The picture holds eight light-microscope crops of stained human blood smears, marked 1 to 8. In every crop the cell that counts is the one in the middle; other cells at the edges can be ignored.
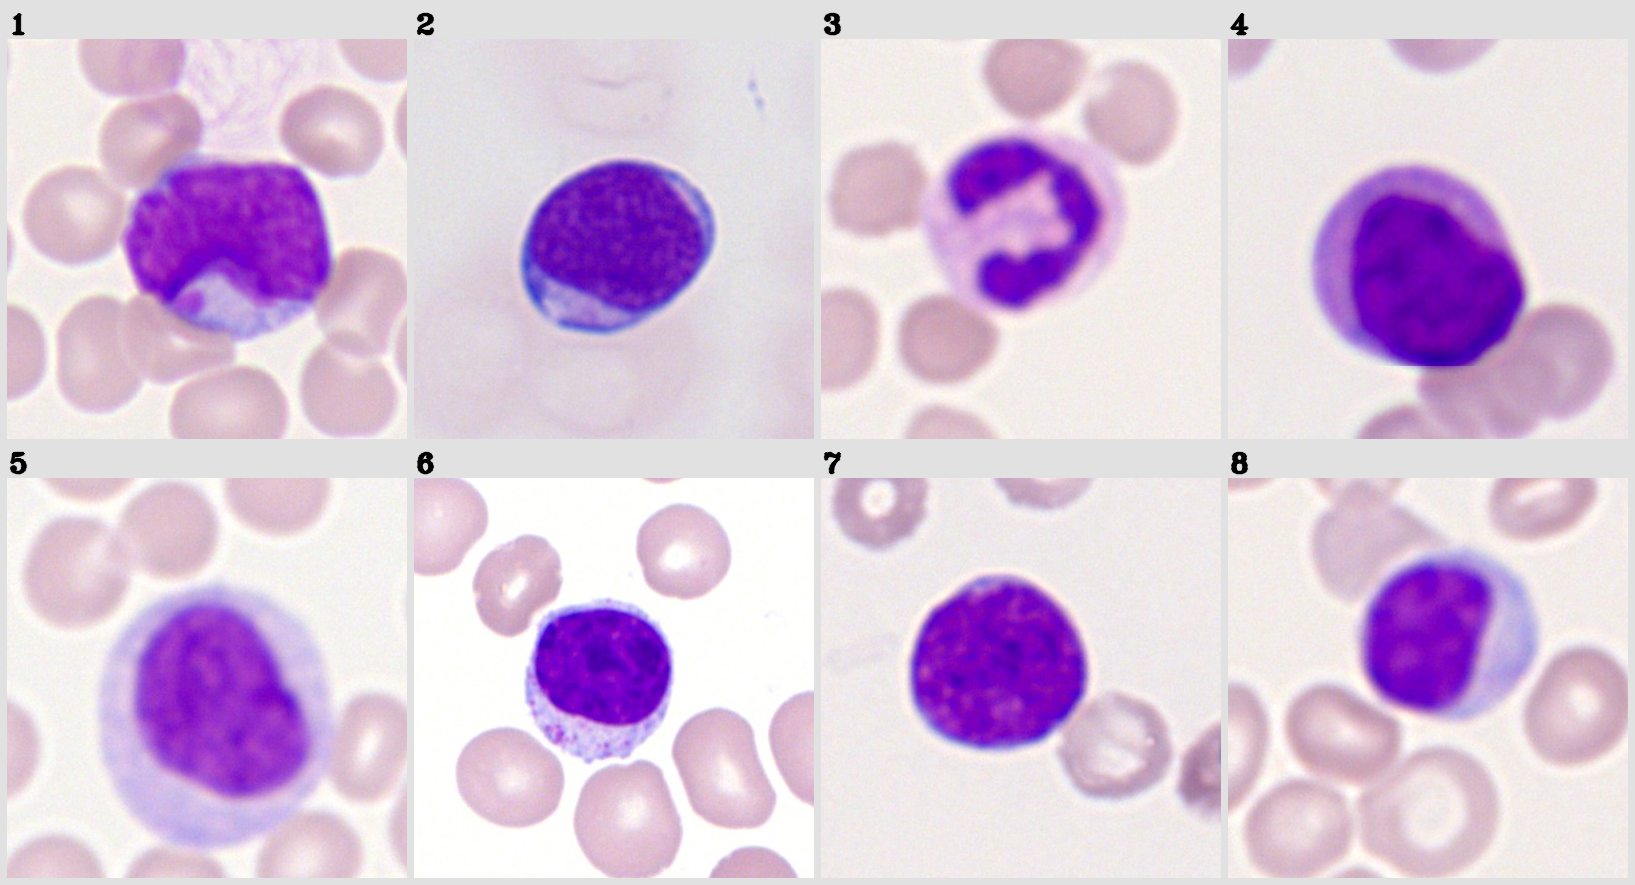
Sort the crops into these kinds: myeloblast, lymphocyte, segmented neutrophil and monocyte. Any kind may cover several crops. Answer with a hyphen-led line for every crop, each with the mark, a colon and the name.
- 1: myeloblast
- 2: myeloblast
- 3: segmented neutrophil
- 4: myeloblast
- 5: myeloblast
- 6: lymphocyte
- 7: myeloblast
- 8: lymphocyte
